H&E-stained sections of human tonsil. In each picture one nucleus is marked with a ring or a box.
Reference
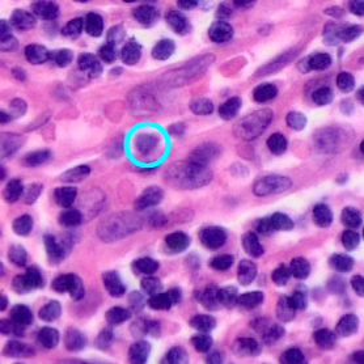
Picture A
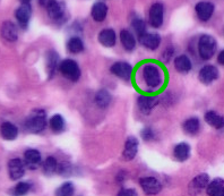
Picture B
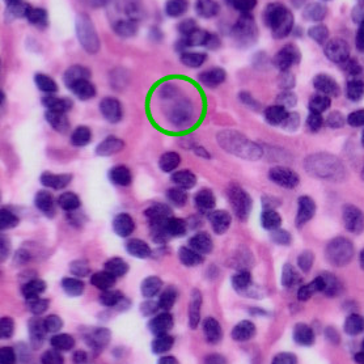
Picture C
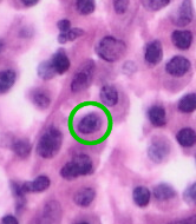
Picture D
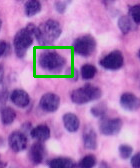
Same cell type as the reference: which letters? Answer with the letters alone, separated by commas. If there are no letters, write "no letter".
B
